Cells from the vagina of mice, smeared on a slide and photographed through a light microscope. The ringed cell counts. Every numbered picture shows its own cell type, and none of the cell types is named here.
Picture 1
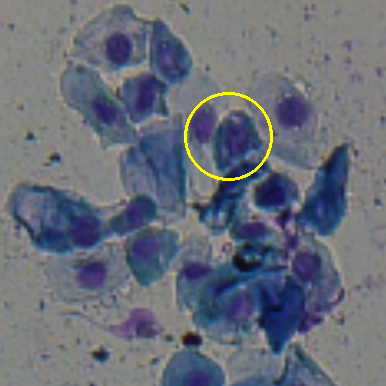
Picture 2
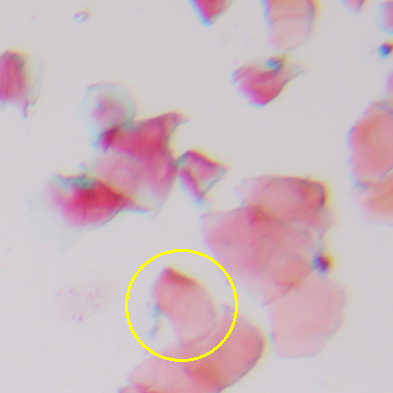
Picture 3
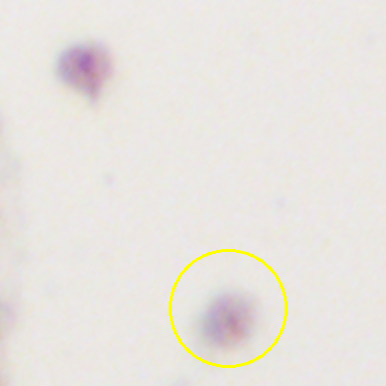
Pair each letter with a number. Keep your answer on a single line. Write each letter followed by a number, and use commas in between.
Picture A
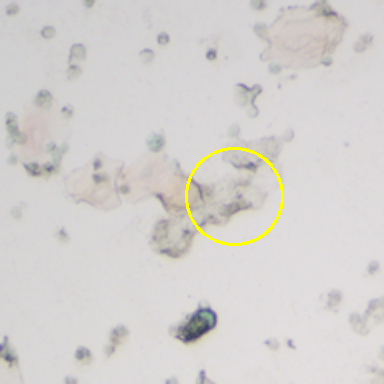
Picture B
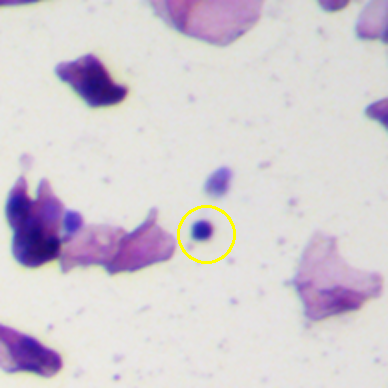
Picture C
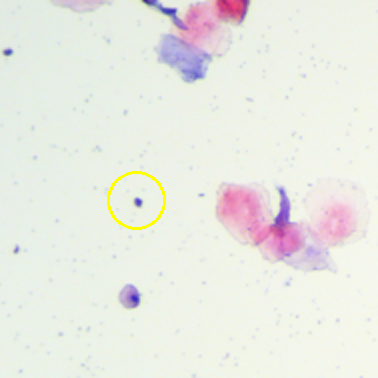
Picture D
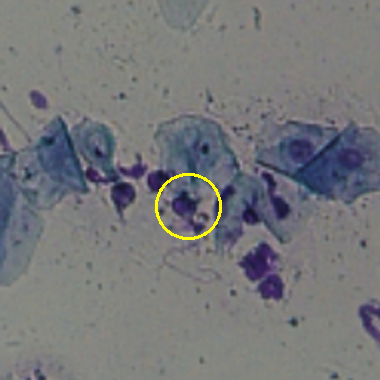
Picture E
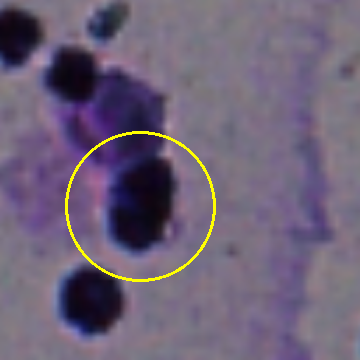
A 2, B 3, C 3, D 3, E 3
